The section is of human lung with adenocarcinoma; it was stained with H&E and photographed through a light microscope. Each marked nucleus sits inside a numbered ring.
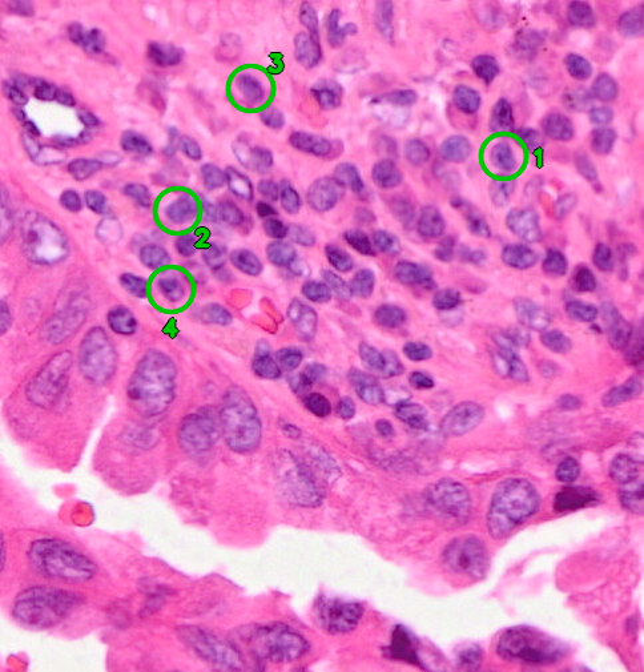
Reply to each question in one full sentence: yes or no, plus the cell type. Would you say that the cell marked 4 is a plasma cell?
No, cell 4 represents a lymphocyte rather than a plasma cell.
